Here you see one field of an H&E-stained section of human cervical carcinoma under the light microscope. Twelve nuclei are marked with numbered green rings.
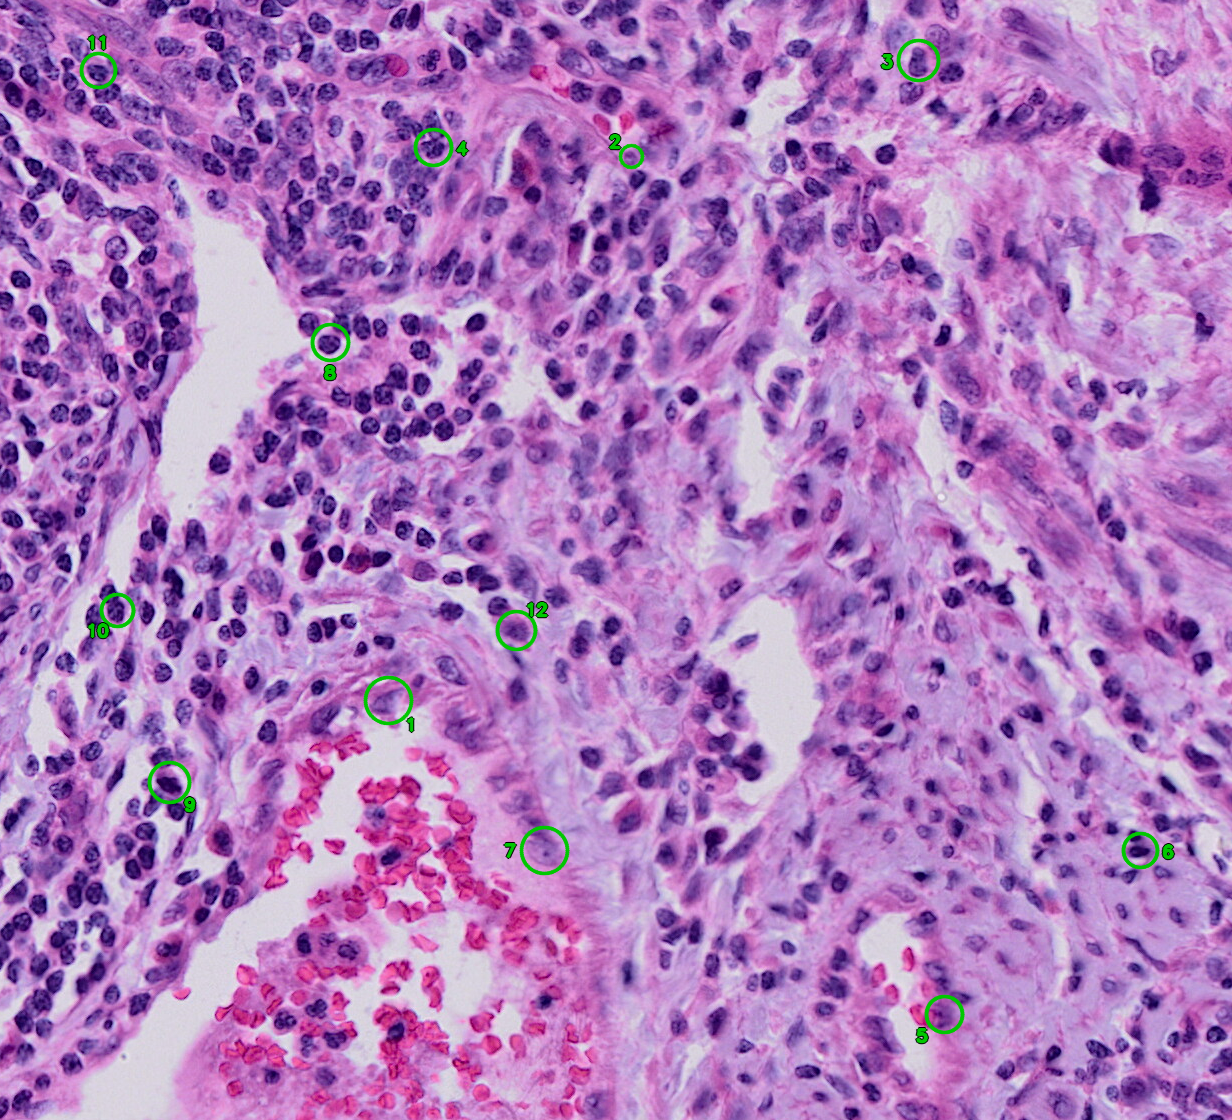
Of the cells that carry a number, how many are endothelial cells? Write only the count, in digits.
4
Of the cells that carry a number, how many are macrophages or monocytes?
1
